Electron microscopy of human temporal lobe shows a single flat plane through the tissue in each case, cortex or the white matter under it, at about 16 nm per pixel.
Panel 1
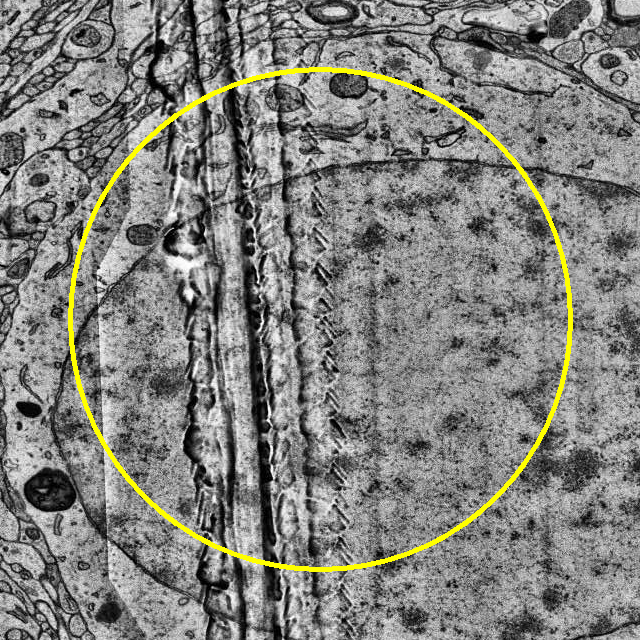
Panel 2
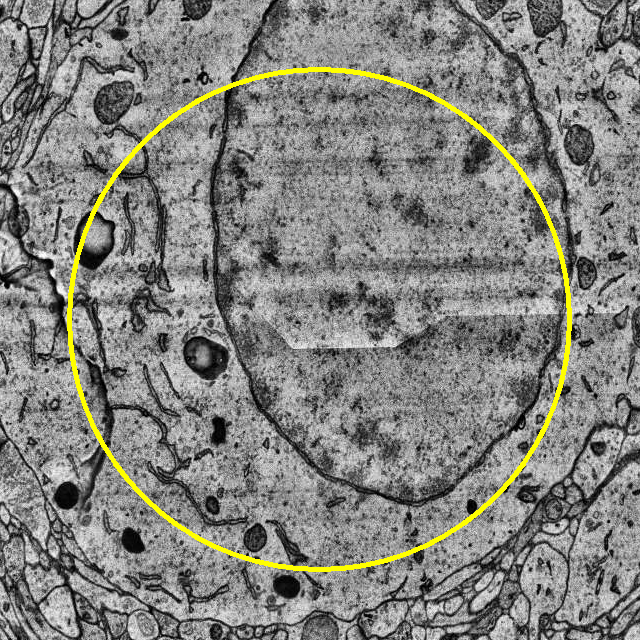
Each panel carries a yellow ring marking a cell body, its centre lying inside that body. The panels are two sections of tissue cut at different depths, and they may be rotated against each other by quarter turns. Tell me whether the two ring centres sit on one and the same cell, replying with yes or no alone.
yes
